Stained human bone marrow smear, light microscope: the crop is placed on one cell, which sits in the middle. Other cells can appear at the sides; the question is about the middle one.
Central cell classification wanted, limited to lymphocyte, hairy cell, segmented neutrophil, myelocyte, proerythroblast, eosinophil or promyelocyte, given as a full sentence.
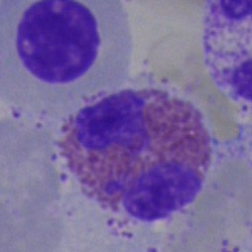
As for the central cell, it is an eosinophil.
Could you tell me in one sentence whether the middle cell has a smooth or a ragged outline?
Because its outline is ragged or drawn out into projections, the cell lacks a smooth border.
